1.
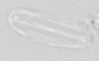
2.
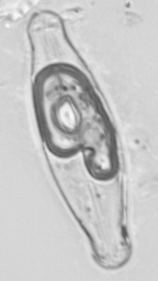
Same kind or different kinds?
Different: the first is Fistulifera, the second Sellaphora.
